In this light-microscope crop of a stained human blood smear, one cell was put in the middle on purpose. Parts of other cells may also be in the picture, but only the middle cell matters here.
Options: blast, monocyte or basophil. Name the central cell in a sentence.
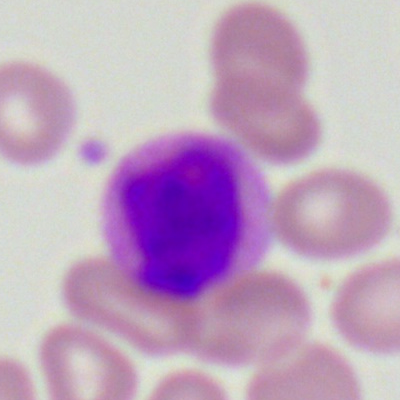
The identification for the central cell is a basophil.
